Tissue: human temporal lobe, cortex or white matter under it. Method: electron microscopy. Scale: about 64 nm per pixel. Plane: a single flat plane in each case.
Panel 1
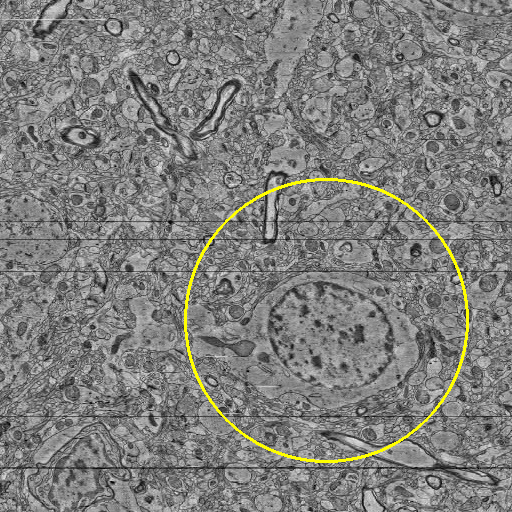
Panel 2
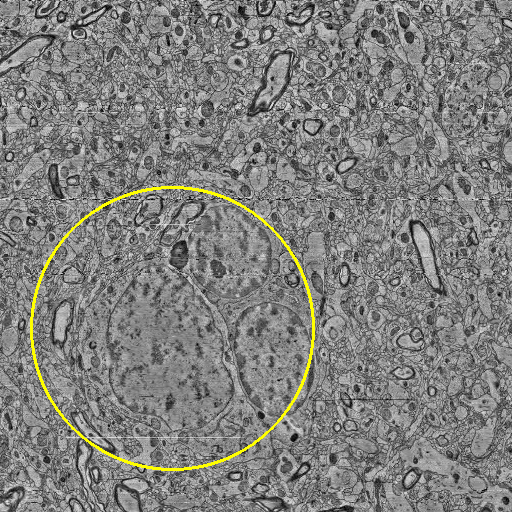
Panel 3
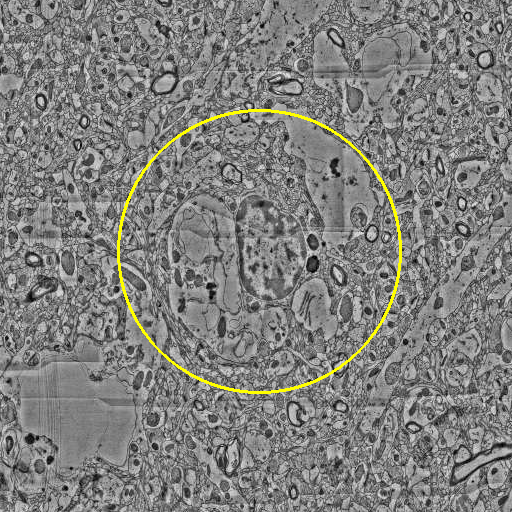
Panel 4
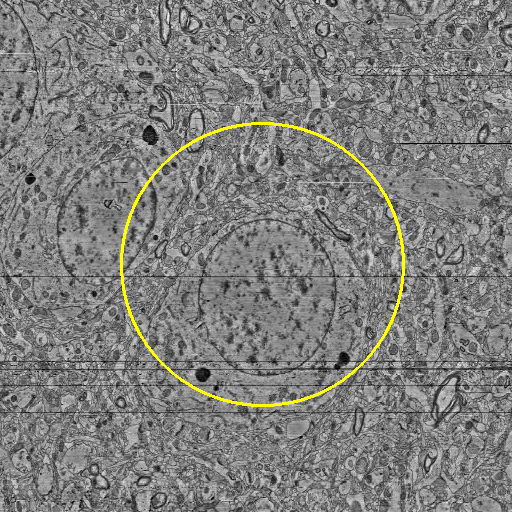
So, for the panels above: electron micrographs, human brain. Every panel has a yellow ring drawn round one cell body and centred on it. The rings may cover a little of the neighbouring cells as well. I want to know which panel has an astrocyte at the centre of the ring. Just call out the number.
1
